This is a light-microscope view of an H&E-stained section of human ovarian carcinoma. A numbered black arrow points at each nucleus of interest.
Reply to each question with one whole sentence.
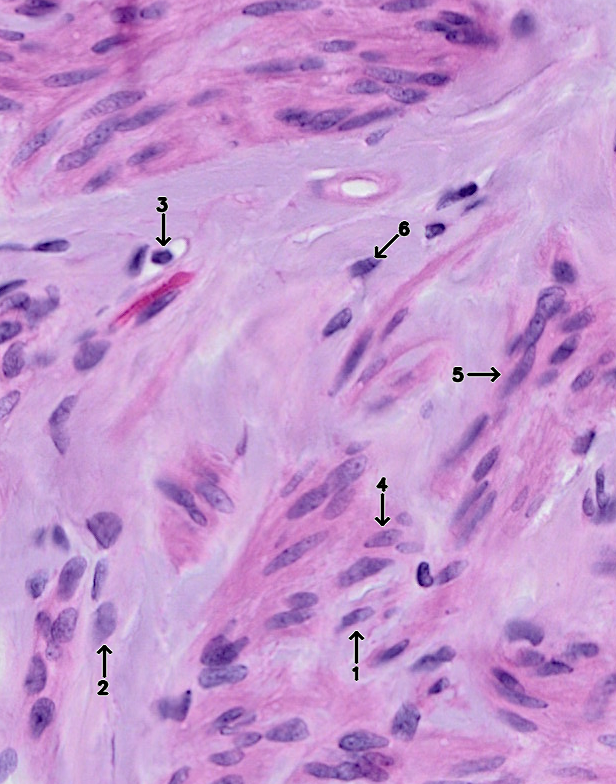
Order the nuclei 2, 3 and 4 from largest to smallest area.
Largest first, the order by area is 2, 4, 3.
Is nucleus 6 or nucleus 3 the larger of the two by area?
At about 1.5 times the area of nucleus 3, nucleus 6 is the larger of the two.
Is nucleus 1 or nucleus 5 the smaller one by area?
The smaller nucleus is 1, and 5 covers roughly 1.5 times its area.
